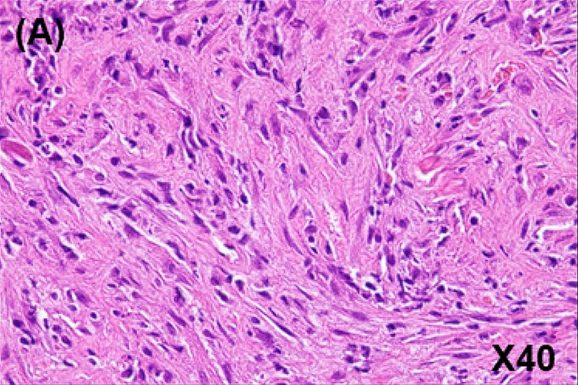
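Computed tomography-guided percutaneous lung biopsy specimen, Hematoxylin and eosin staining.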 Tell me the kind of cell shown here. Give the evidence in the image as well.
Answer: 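Many cells have elongated, spindle-shaped nuclei. The spindle cells lie in streams within pink fibrous stroma. So: fibroblast-like spindle-shaped cells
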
